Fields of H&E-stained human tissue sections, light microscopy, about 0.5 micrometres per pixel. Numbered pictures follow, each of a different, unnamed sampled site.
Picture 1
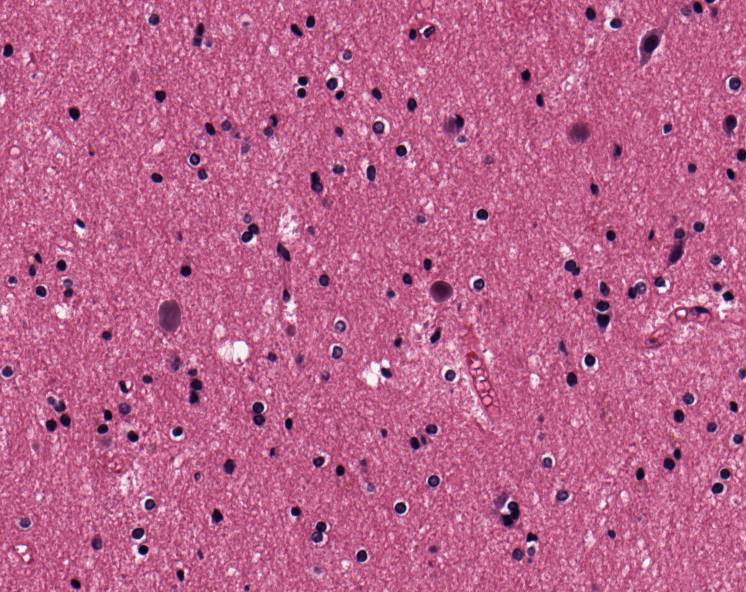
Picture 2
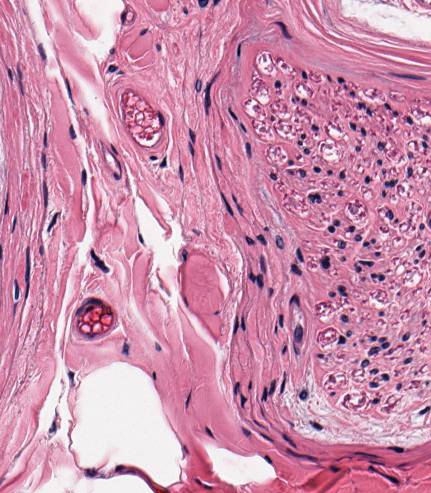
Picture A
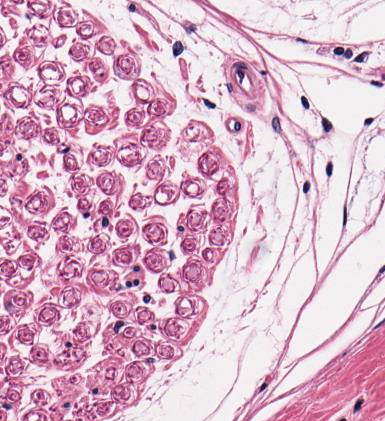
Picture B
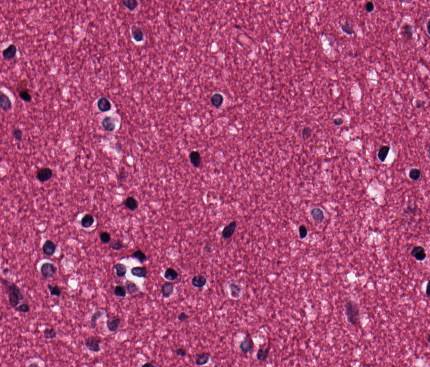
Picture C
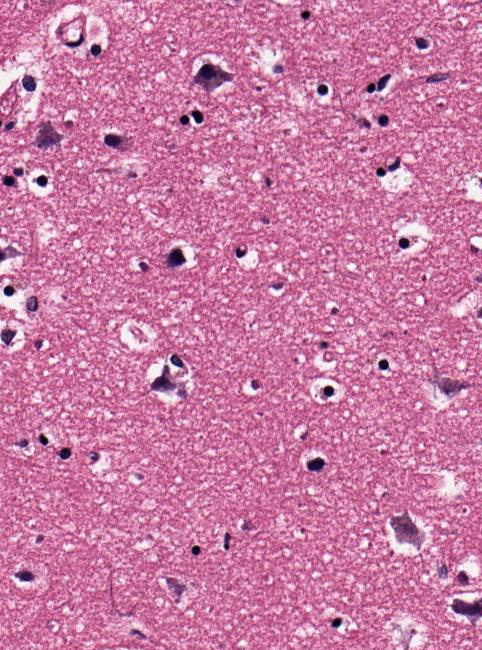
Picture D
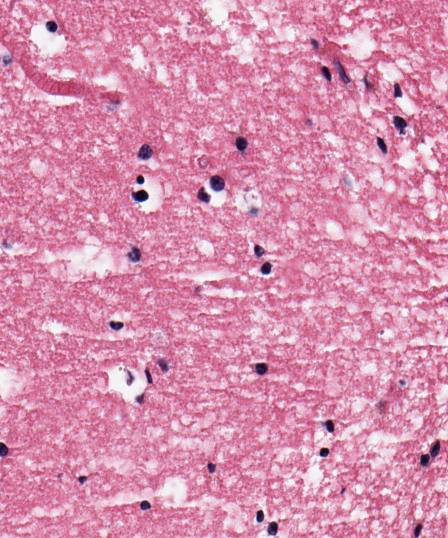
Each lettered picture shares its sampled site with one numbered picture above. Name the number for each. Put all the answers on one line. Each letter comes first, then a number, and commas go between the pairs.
A 2, B 1, C 1, D 1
